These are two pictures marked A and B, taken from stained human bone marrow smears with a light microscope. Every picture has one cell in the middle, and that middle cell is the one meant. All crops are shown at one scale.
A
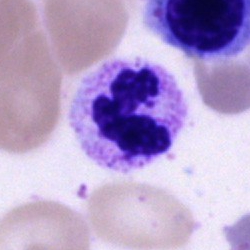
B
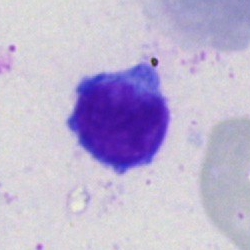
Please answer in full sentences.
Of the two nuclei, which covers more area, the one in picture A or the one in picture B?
Larger is the nucleus in picture B, at roughly 1.5 times the area of the other.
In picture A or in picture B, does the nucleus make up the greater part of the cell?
It is the cell in picture B that is filled more by its nucleus.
